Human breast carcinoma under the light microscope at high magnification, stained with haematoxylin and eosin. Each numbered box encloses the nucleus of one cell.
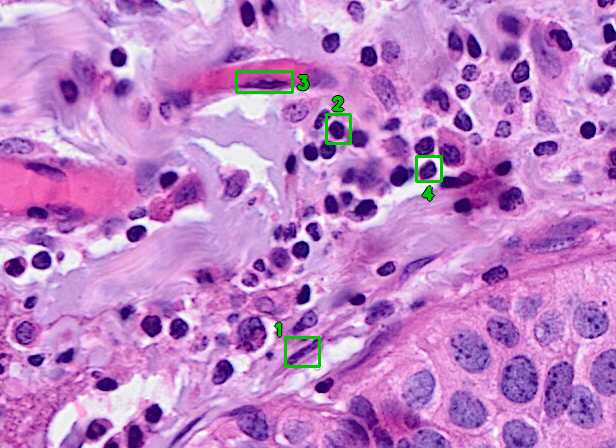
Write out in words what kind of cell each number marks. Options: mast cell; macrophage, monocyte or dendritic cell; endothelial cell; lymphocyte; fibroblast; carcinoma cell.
Cell 1 is a fibroblast. Cells 2 and 4 are lymphocytes. Cell 3 is an endothelial cell.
